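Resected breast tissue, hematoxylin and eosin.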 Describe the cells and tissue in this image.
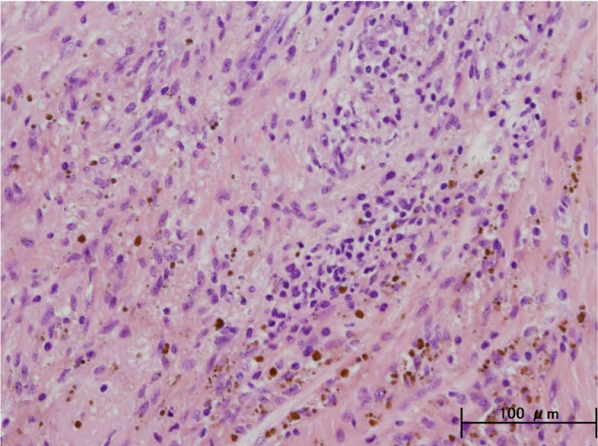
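Fibrous tissue with scattered brown hemosiderin deposits and inflammatory cells. Pink collagenous stroma runs in irregular, crossing bundles, holding many spindle-shaped and oval nuclei. Small round dark lymphocytes gather in a loose cluster near the centre. Coarse golden-brown granules lie within and between cells, forming clusters that are densest in the lower part of the field. Some cells have pale, finely vacuolated cytoplasm. No clear glandular or nested epithelial pattern is seen here; the field is dominated by cellular fibrous stroma with pigment.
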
